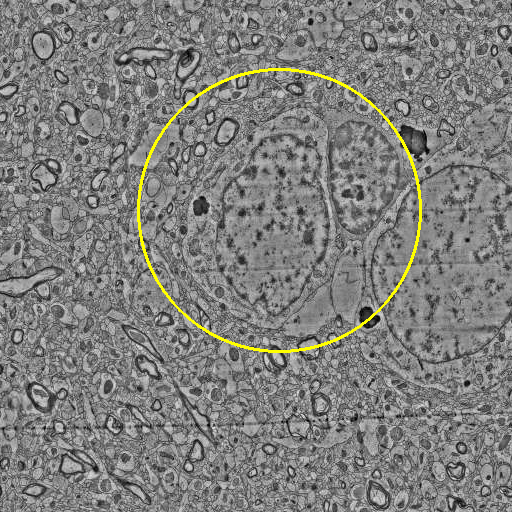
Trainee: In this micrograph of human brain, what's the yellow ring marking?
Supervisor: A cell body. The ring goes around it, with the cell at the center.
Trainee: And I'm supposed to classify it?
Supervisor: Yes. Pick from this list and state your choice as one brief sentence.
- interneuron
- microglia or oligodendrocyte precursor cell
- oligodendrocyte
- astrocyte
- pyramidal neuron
The cell at the ring's center is an interneuron.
